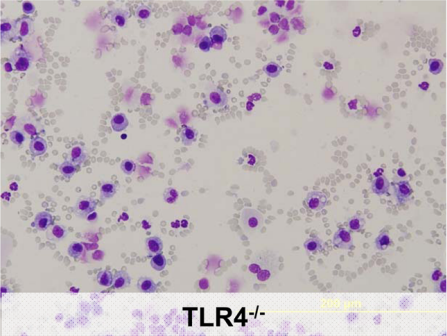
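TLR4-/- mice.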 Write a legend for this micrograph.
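Most nucleated cells are larger, with a single round to oval purple nucleus and a rim of pale bluish to pink cytoplasm. They lie scattered among numerous small pale anucleate discs.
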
